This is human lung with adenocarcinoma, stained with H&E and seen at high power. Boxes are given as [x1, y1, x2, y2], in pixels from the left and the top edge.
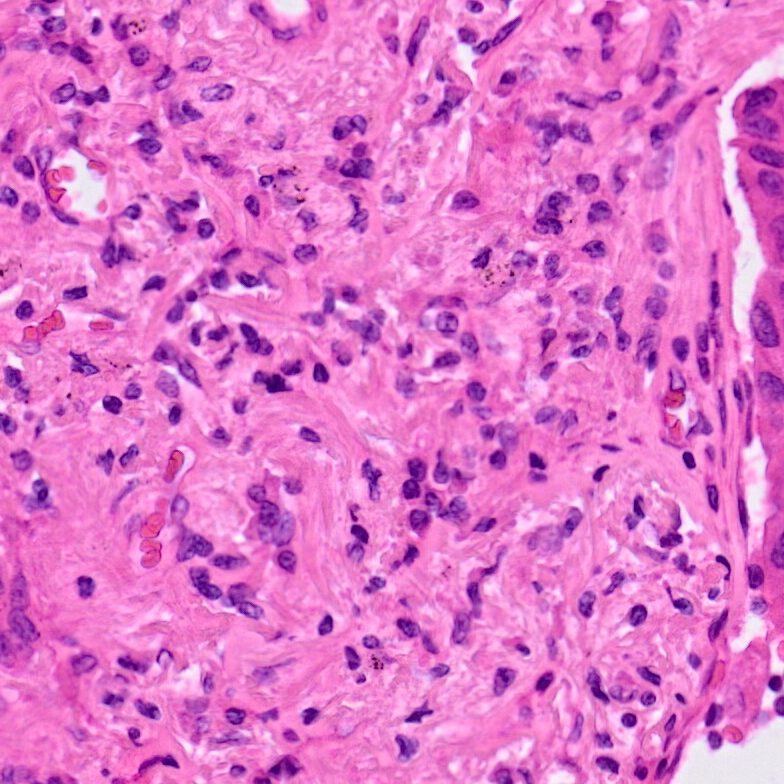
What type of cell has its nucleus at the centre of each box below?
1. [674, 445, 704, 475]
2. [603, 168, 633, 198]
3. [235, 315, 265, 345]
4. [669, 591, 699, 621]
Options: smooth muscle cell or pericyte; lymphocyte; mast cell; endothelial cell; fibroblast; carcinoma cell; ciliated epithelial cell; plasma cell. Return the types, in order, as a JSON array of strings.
["lymphocyte", "plasma cell", "lymphocyte", "lymphocyte"]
